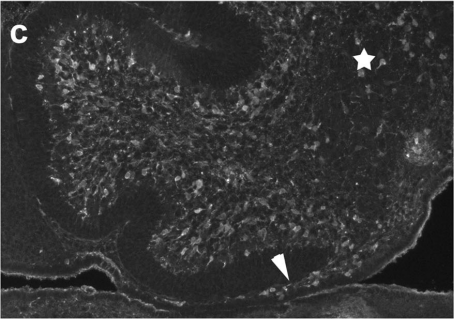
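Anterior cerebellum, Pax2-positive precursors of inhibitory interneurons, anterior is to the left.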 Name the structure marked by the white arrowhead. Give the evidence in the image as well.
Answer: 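Velum medullare. The arrowhead points to the thin tissue at the lower margin of the cerebellum. A few labelled cells lie in this thin tissue.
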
